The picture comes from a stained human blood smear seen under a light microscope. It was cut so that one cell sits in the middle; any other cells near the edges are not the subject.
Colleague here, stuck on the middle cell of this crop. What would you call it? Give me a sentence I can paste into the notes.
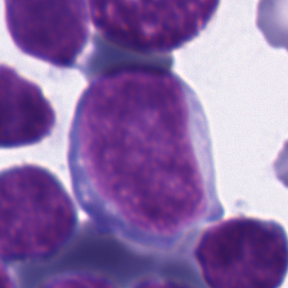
This crop has a myeloblast at its centre.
